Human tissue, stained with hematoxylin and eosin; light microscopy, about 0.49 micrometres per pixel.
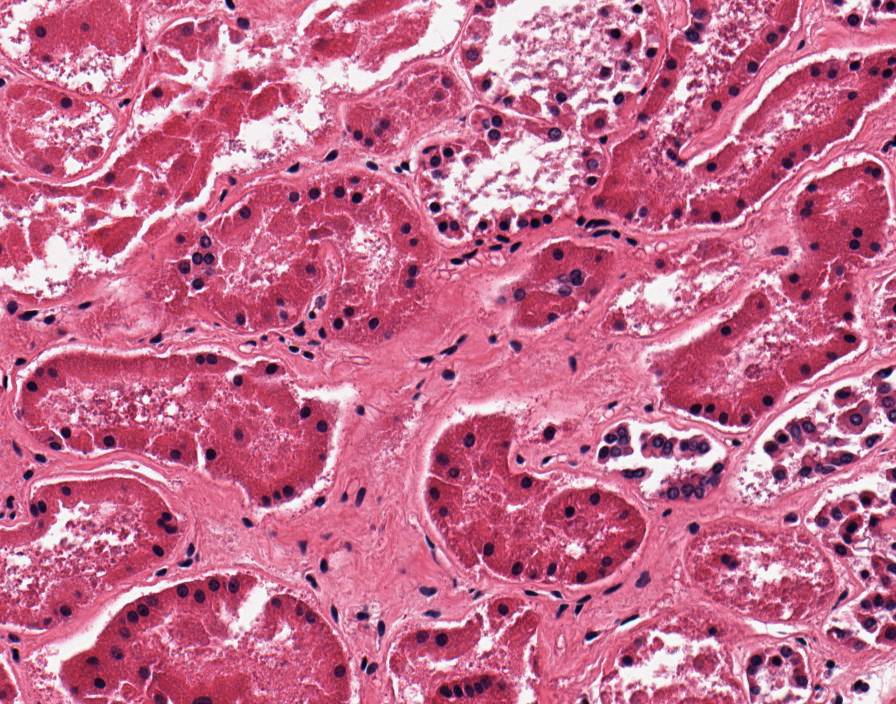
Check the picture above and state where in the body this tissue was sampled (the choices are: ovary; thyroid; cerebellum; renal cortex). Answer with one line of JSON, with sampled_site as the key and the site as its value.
{"sampled_site": "renal cortex"}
